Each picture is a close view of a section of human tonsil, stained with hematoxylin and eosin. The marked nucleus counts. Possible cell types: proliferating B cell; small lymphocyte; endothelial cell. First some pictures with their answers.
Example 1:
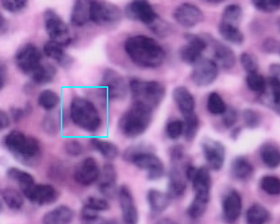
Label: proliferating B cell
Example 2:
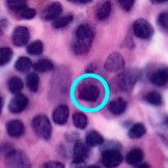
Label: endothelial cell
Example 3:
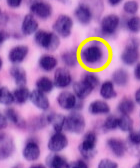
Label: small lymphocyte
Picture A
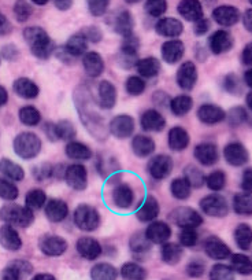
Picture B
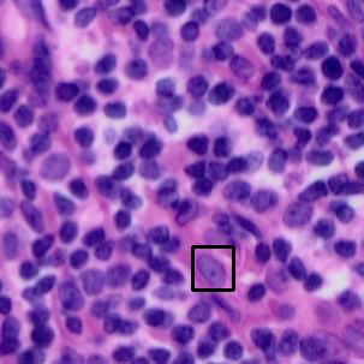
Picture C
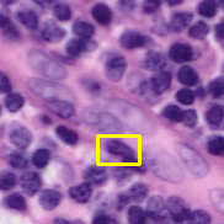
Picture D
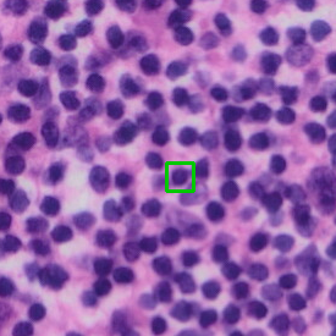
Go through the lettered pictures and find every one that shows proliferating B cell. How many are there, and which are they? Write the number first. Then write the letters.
0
